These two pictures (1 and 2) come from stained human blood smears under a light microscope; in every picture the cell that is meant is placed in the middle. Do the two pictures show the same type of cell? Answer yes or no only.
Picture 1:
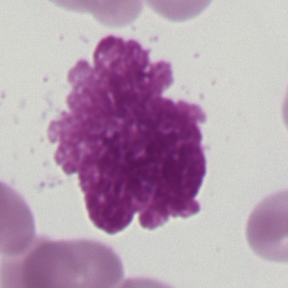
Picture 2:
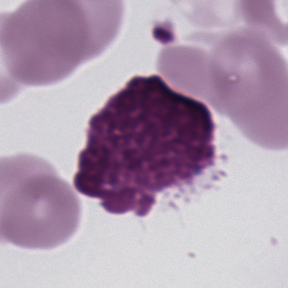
yes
